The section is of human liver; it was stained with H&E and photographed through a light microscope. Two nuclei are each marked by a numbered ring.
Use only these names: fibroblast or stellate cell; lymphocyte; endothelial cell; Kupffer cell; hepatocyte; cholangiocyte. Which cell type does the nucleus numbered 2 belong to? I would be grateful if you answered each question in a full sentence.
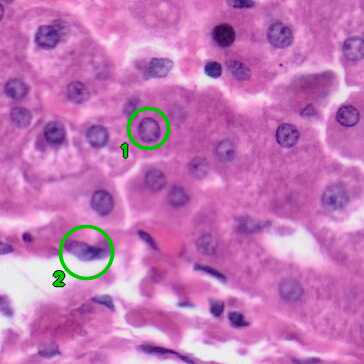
The nucleus labelled 2 belongs to a fibroblast or stellate cell.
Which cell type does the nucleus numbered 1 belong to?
The identity of cell 1 is that of a hepatocyte.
